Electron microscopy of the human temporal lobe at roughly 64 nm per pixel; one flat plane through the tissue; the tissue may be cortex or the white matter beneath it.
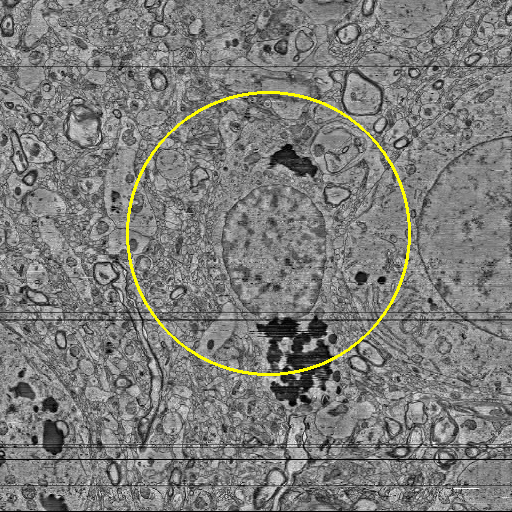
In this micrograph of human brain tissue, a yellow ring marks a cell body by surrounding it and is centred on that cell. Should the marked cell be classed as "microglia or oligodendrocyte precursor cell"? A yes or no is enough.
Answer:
no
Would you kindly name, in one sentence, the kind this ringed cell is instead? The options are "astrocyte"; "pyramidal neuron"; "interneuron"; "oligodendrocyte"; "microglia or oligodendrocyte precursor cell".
Instead, the cell at the centre of the yellow ring is an oligodendrocyte.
